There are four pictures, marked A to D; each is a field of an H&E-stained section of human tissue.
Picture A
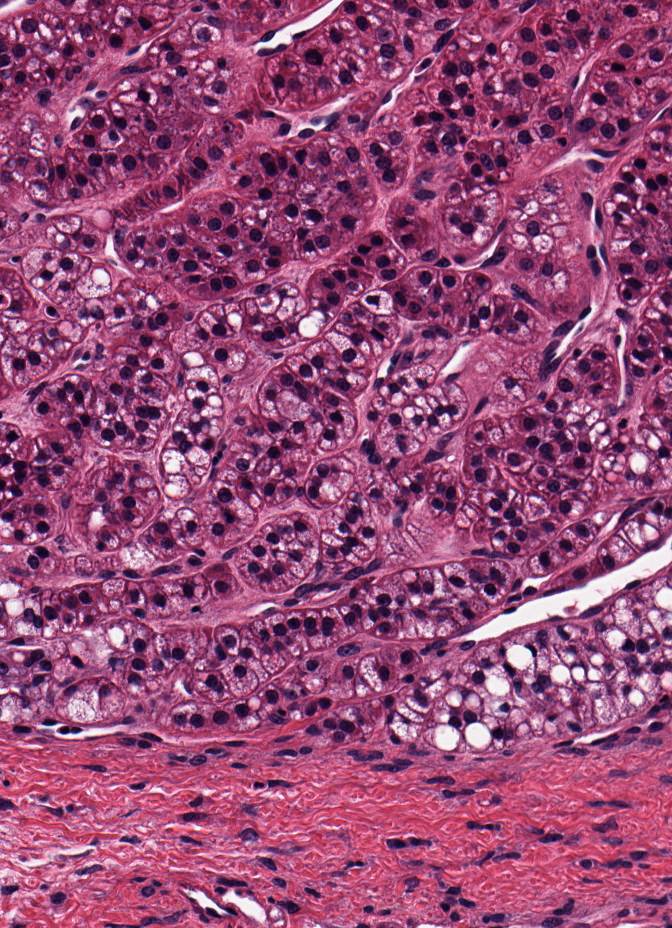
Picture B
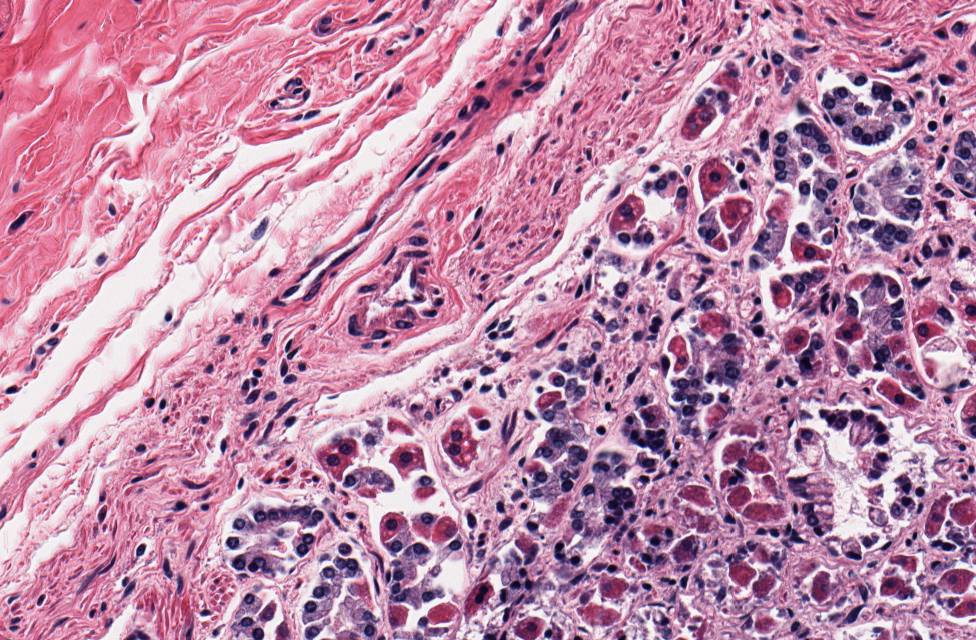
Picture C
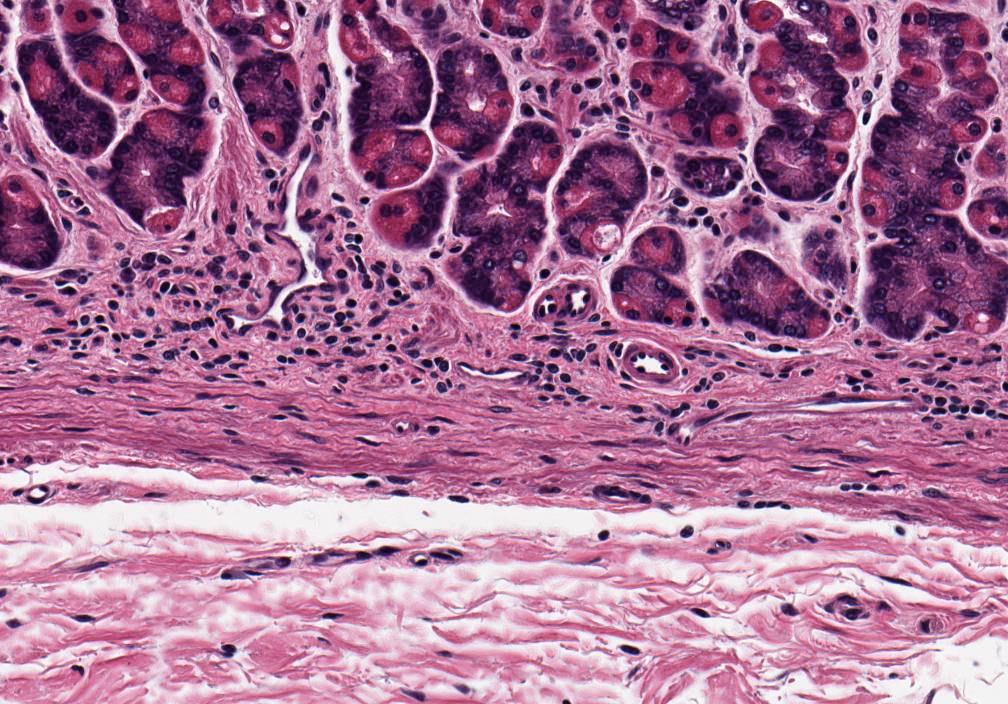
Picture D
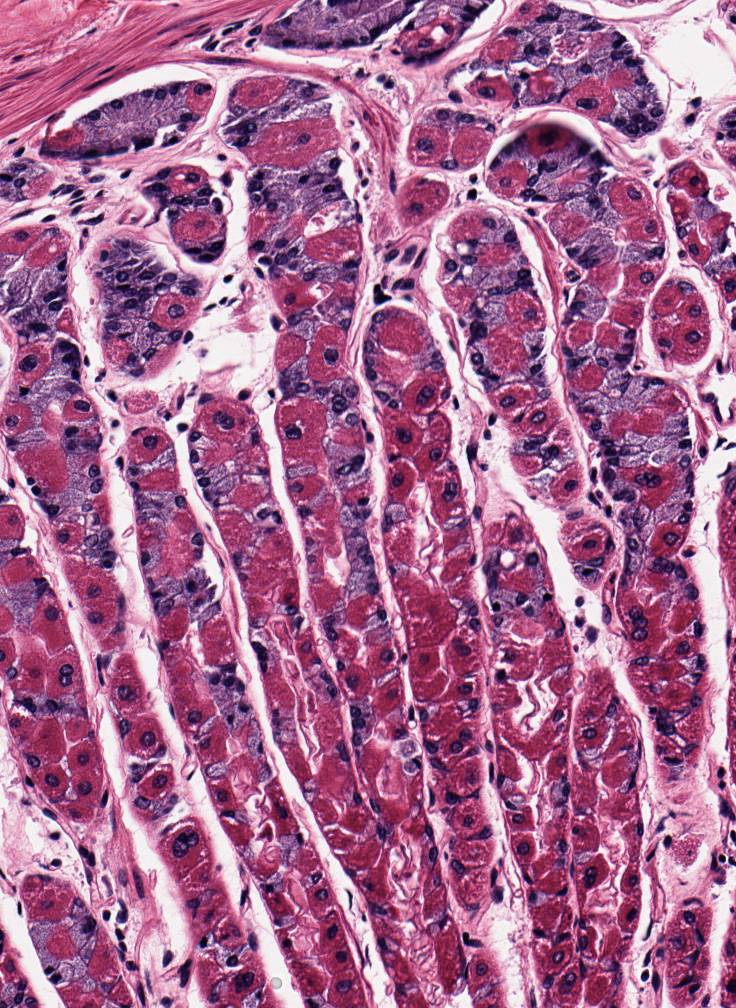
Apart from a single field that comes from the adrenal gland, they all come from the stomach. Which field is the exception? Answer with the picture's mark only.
A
